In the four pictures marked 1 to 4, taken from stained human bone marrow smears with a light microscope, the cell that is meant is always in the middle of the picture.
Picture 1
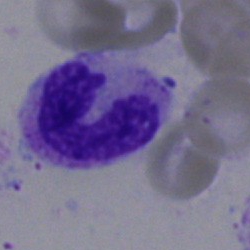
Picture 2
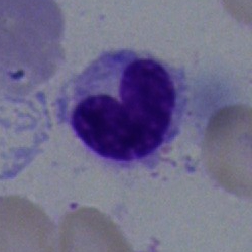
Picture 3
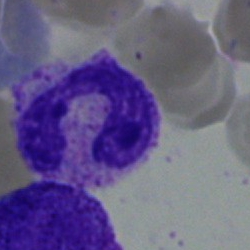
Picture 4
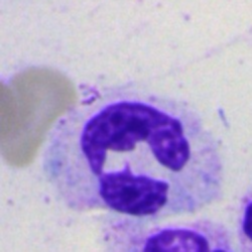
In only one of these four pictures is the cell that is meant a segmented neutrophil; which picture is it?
4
